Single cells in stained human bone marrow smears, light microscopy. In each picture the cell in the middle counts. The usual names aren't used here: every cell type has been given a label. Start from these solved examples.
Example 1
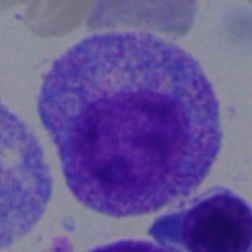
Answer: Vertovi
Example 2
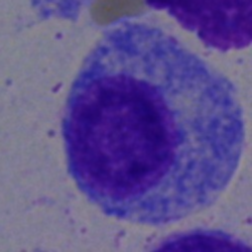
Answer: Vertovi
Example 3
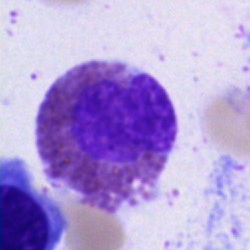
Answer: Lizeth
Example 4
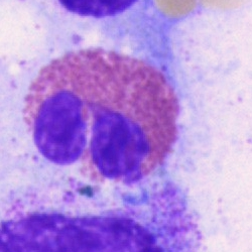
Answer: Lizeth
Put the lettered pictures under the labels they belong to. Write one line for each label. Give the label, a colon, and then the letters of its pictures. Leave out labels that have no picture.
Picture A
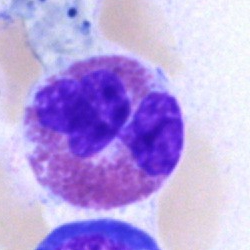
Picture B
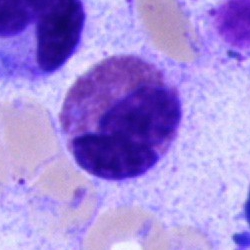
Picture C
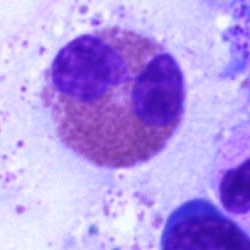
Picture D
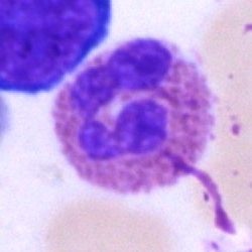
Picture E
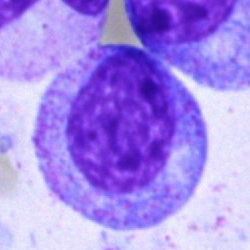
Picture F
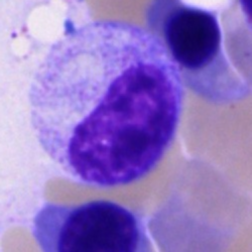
Vertovi: E, F
Lizeth: A, B, C, D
